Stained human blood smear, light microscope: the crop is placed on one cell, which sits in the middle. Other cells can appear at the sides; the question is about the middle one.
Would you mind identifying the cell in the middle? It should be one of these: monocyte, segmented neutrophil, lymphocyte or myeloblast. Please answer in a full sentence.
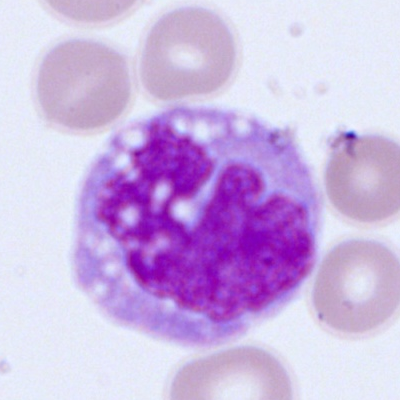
Where the crop is centred, there is a monocyte.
